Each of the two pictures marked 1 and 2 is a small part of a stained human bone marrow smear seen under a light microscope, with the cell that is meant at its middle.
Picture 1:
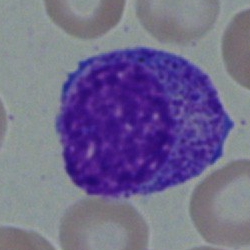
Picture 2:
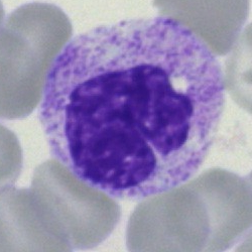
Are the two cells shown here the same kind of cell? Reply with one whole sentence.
No, they differ: the cell is a myelocyte in picture 1 and a metamyelocyte in picture 2.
